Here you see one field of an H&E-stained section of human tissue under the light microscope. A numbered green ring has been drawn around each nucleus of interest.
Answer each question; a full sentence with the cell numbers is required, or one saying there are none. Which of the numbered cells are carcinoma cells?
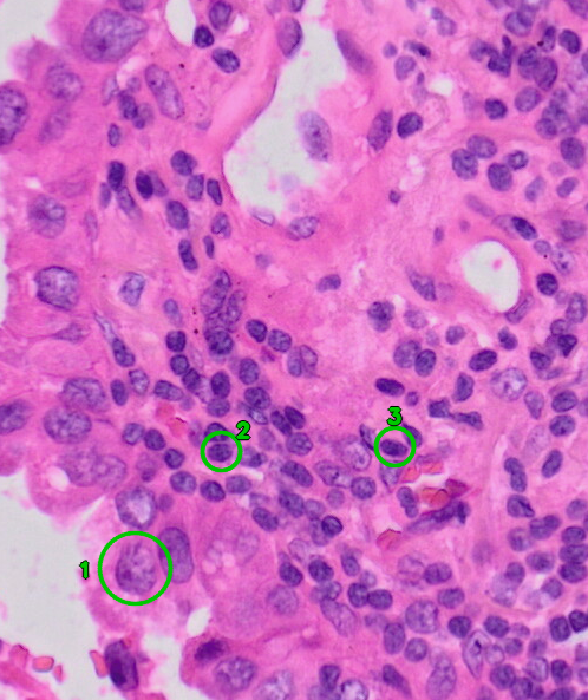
Only the cell with number 1 is a carcinoma cell.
